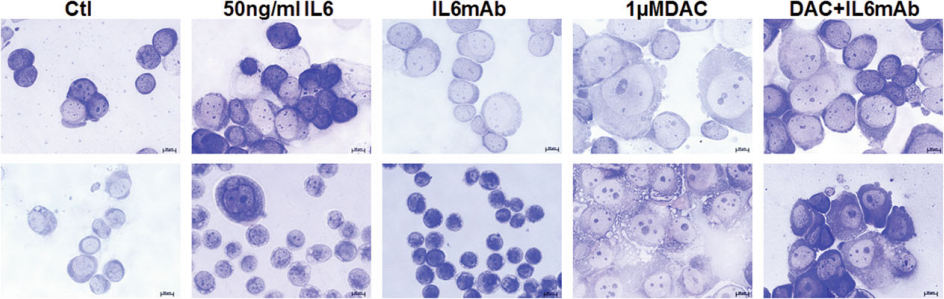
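Cells lie singly or in small loose clusters. Some are small and round, with dense dark violet cytoplasm and a nucleus barely told apart from it. Others are larger, with a pale lilac nucleus and a paler rim of cytoplasm. In several fields, cells are markedly enlarged and flattened, with broad, pale, lilac-grey cytoplasm and a big round to oval nucleus. That nucleus holds several conspicuous rounded nucleoli. Cell size varies strongly from field to field.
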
